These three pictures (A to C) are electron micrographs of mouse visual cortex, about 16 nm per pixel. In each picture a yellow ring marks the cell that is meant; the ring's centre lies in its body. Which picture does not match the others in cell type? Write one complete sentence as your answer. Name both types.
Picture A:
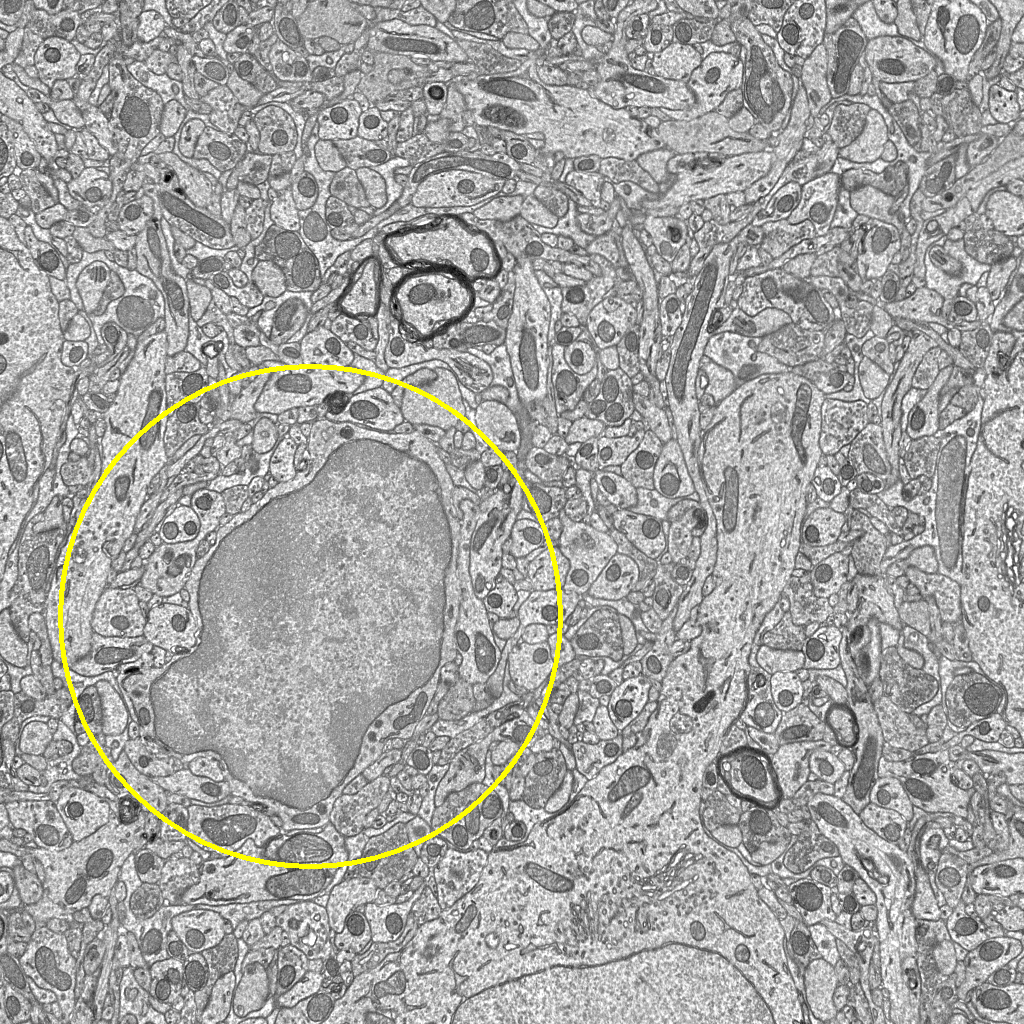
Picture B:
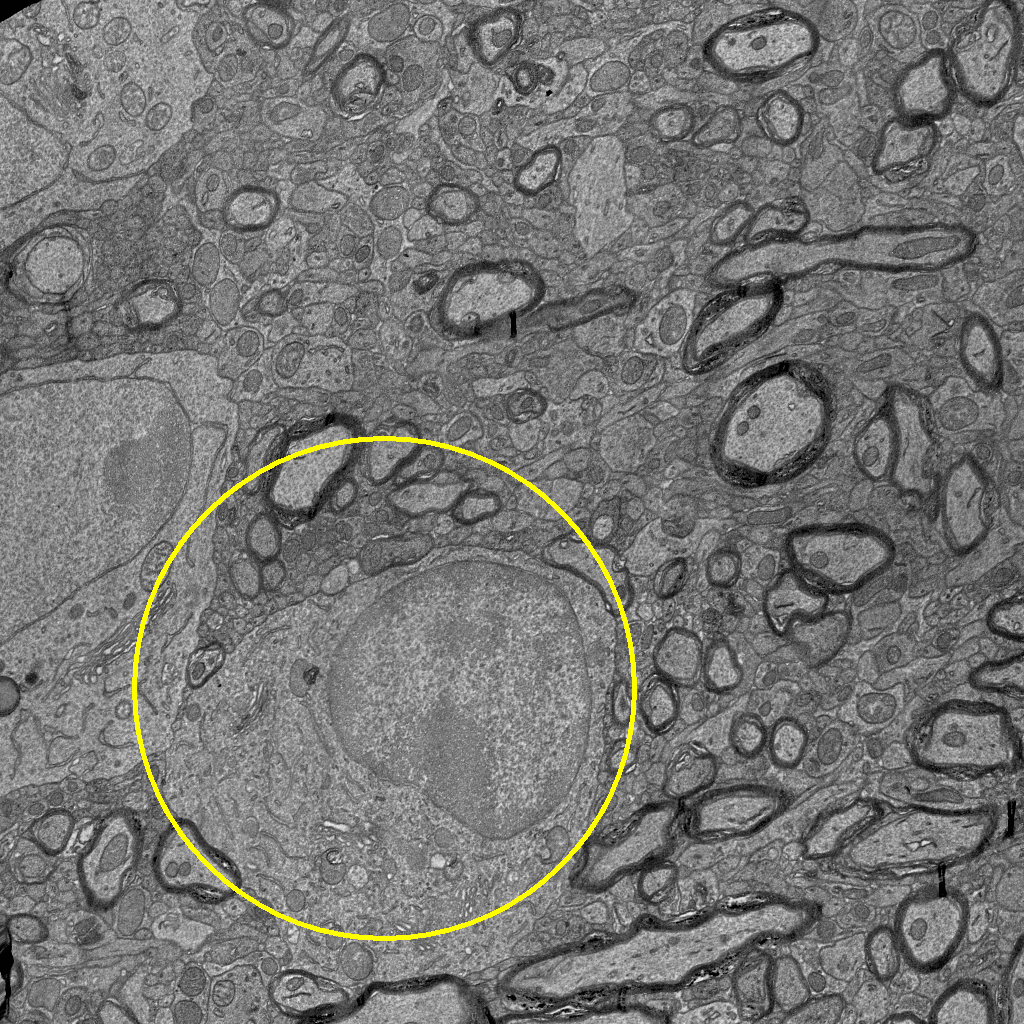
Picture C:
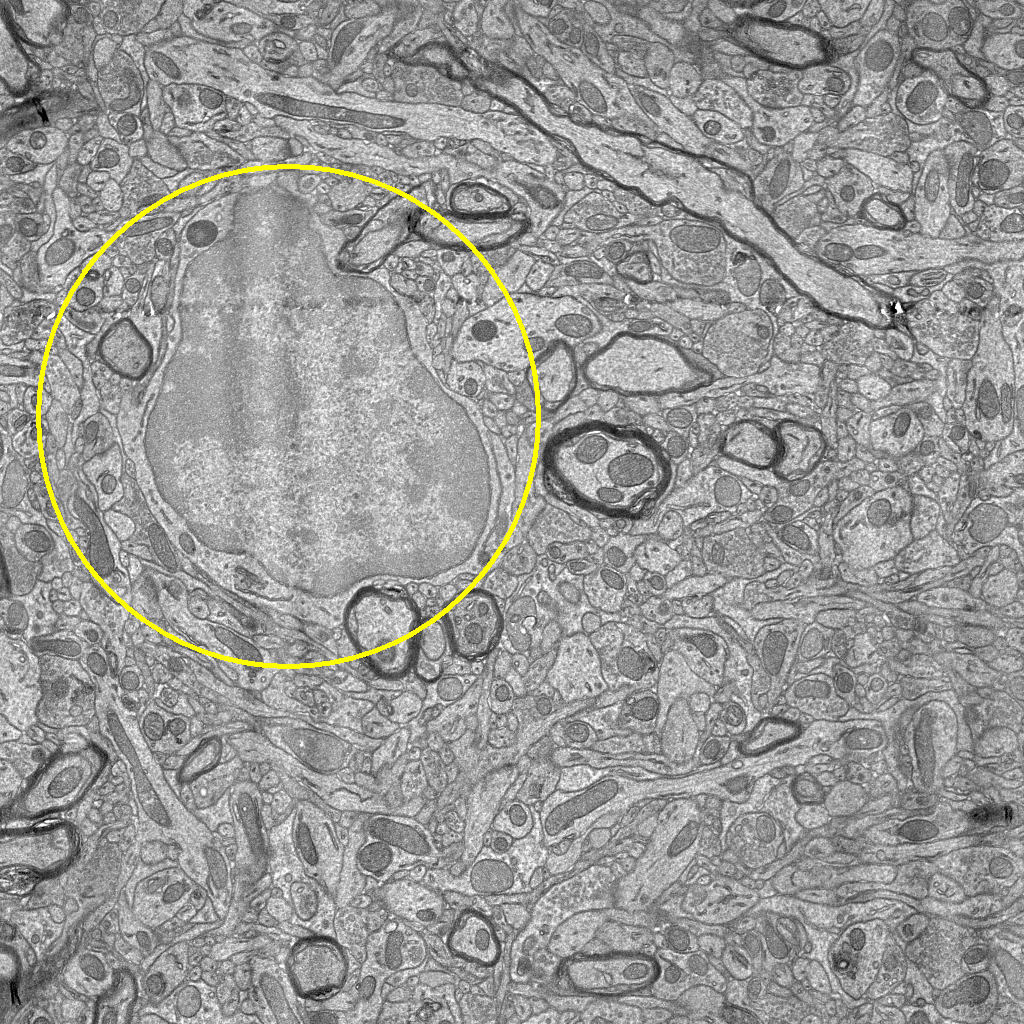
Unlike the rest, which show microglial cells, picture B shows an oligodendrocyte.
